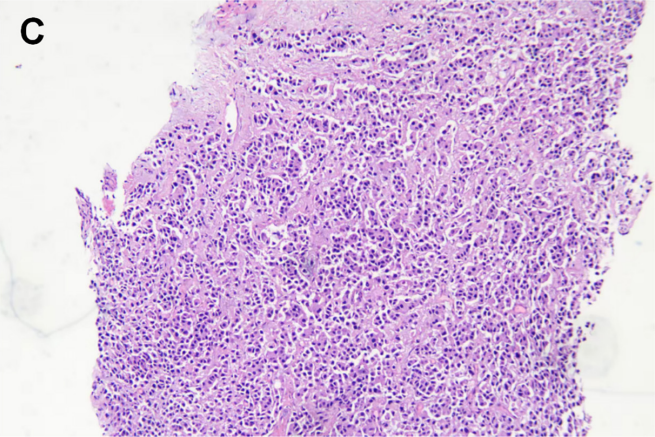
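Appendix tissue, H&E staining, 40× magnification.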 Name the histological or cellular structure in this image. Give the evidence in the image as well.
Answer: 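Cells fill the tissue diffusely in a broad sheet. Small clusters are outlined by delicate stroma.
Conclusion: sheet-like and nested clusters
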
